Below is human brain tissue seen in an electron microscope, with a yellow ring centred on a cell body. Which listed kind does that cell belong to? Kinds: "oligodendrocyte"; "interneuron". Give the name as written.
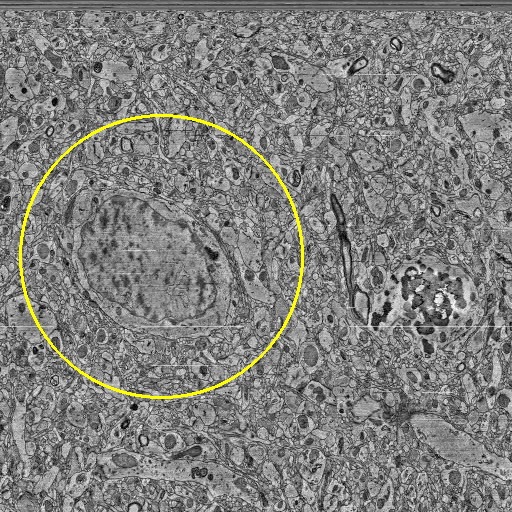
interneuron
